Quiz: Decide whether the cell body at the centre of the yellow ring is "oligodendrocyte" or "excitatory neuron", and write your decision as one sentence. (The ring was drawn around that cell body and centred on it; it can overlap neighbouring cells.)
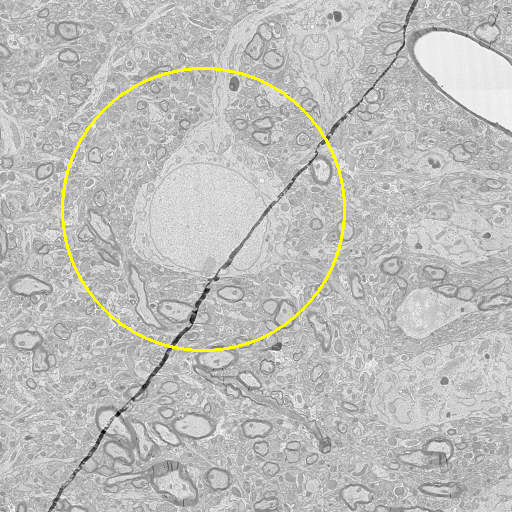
The cell the ring is centred on is an excitatory neuron.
